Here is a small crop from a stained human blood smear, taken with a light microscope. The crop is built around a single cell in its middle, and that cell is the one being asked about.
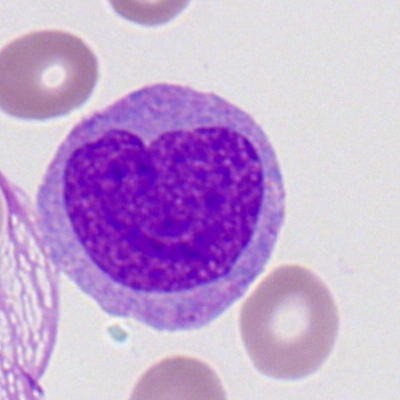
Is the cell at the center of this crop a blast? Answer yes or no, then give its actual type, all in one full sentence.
Yes, the cell at the center of the crop is a blast.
